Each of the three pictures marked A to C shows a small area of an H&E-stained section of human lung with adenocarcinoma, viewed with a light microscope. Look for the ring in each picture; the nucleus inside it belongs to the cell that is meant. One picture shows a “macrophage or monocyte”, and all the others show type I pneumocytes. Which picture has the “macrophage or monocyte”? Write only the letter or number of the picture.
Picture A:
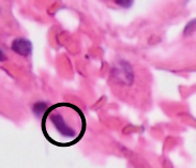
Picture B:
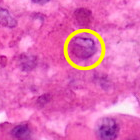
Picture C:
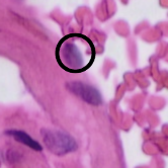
B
